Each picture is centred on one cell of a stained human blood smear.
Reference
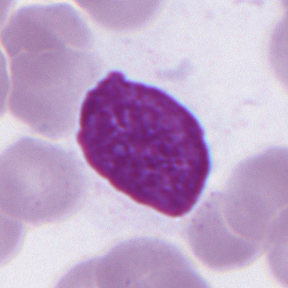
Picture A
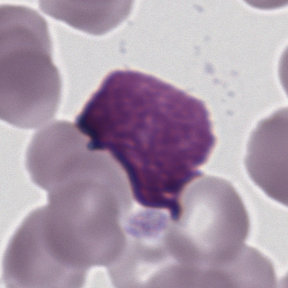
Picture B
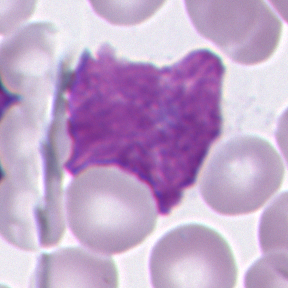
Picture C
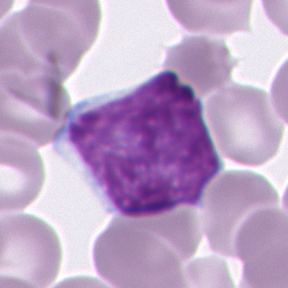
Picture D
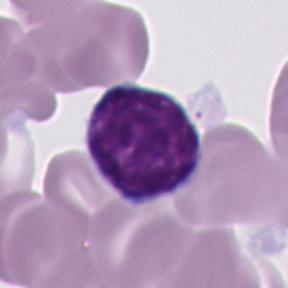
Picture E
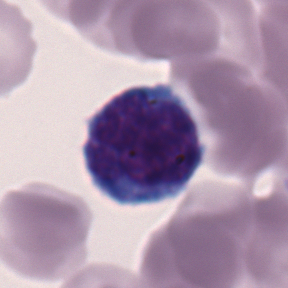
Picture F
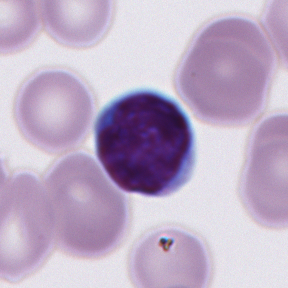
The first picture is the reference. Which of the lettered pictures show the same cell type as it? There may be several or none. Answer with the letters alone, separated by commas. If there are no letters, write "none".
A, B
